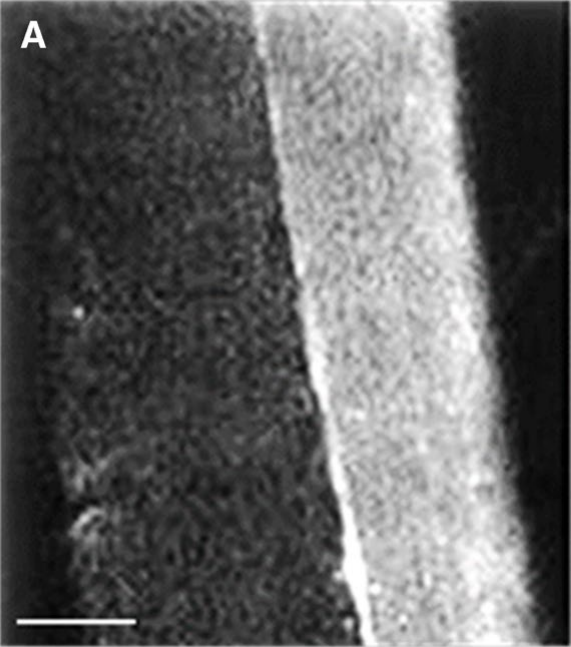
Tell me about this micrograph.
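The right fiber glows brightly, while the left fiber is much dimmer. Both fibers have a fine, dense granular texture, which fits closely packed small fluorescent bodies within the cytoplasm. A thin, brighter line runs along the border where the two fibers meet. Dark background lies beyond the outer edge of the bright fiber on the right.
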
